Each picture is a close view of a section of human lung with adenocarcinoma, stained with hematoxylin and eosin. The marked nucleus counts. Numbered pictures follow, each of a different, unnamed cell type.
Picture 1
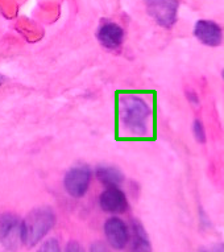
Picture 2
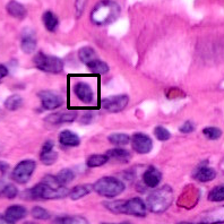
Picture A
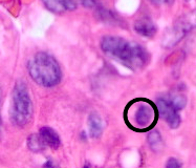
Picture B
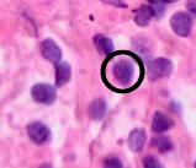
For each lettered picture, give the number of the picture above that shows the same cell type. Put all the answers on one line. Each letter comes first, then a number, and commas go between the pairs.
A 2, B 2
